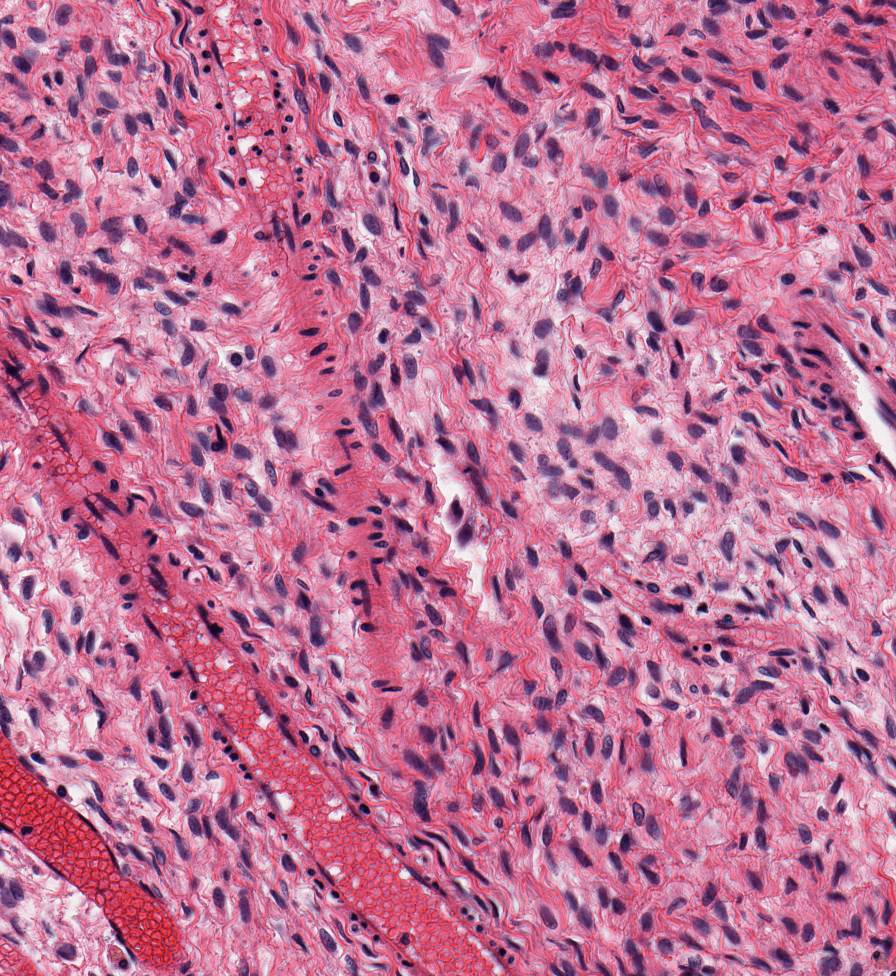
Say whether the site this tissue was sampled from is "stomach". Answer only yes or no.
no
